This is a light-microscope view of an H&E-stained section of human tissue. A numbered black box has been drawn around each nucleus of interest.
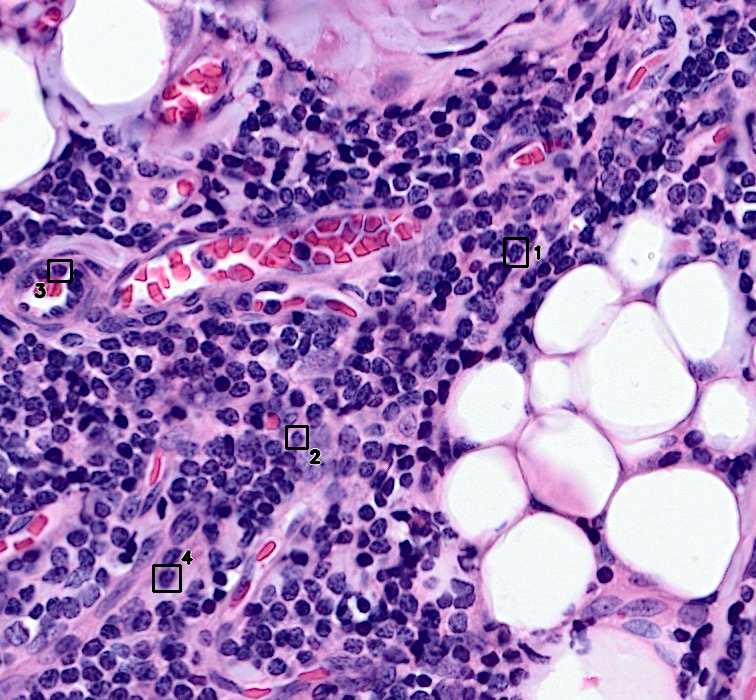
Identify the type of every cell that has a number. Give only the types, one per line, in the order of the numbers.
lymphocyte
lymphocyte
endothelial cell
lymphocyte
